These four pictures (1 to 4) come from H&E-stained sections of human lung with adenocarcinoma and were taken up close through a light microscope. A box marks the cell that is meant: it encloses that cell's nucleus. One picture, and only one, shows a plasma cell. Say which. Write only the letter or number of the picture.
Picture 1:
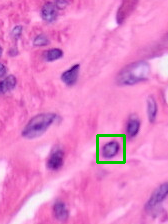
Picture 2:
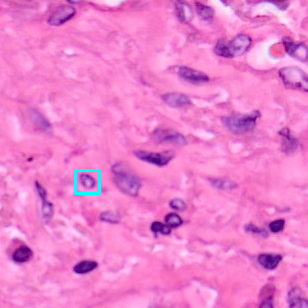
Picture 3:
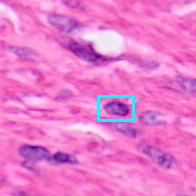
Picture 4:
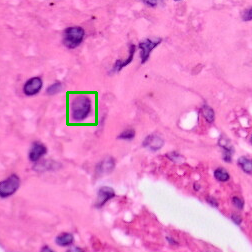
4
